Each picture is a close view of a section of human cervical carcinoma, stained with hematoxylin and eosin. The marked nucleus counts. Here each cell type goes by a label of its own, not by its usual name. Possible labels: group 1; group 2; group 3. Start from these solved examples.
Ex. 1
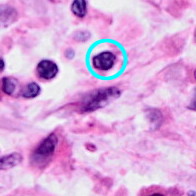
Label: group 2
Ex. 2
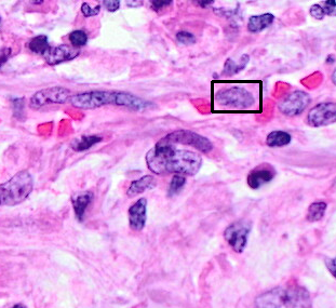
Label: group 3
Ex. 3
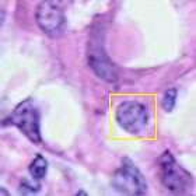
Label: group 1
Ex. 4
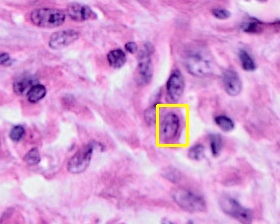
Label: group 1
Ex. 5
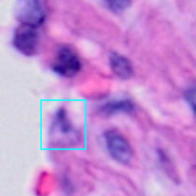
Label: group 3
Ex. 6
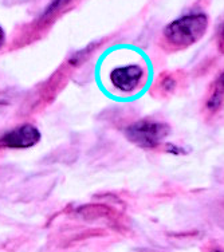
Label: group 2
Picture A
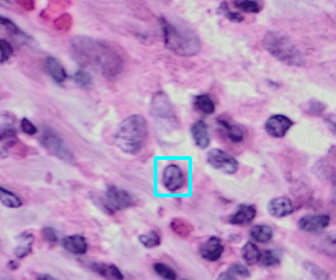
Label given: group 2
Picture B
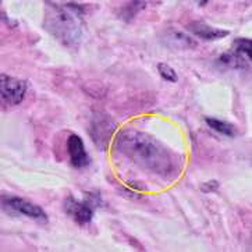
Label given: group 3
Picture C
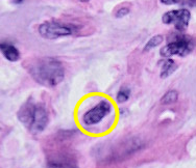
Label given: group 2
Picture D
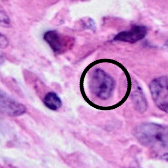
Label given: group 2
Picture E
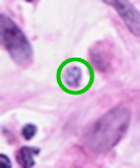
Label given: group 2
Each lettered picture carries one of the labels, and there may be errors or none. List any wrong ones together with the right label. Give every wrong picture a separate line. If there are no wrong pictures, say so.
D: not group 2 but group 1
